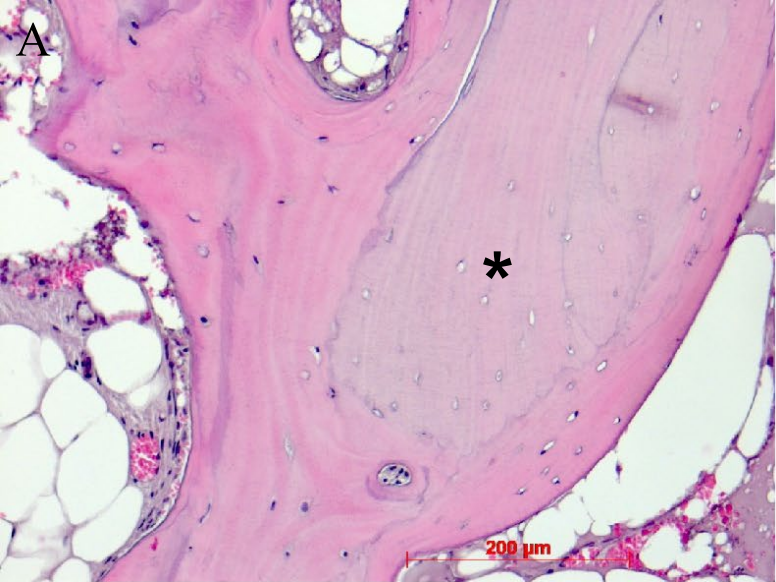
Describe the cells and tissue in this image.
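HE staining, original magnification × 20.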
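Broad pink trabeculae of layered bone with osteocytes in scattered lacunae are separated by fatty marrow spaces. A paler, more homogeneous region is enclosed within a rim of deeper pink bone, and its lacunae look largely empty.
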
